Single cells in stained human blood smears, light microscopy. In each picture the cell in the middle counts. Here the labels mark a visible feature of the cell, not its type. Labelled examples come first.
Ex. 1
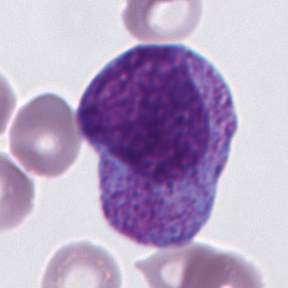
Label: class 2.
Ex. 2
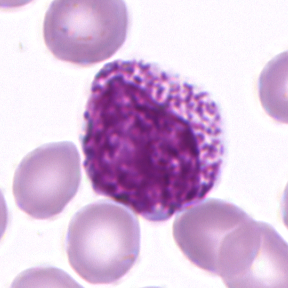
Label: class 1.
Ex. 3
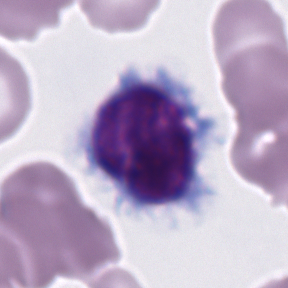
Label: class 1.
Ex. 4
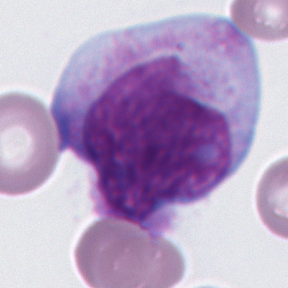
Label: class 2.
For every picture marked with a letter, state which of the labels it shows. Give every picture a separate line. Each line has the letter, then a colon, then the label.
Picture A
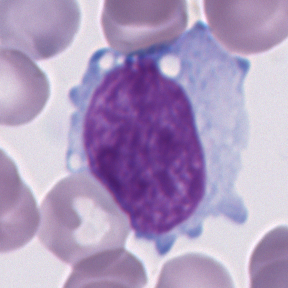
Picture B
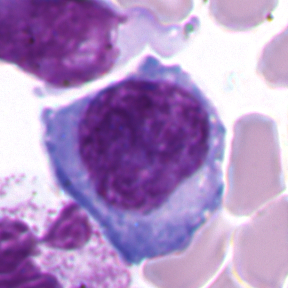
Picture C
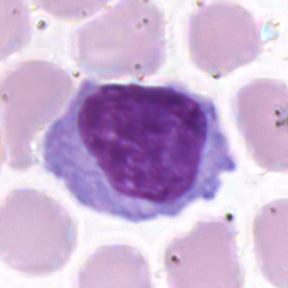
A: class 2.
B: class 2.
C: class 1.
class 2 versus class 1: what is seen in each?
class 2: abundant cytoplasm; class 1: scant cytoplasm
